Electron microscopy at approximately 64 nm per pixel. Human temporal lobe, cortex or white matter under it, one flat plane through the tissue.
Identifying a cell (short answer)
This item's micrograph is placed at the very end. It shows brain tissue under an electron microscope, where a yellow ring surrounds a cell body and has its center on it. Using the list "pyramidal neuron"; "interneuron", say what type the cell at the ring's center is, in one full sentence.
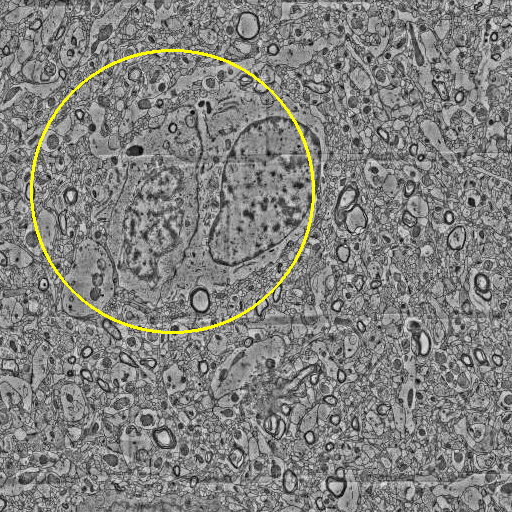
This picture shows an interneuron at the center of the yellow ring drawn on it.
